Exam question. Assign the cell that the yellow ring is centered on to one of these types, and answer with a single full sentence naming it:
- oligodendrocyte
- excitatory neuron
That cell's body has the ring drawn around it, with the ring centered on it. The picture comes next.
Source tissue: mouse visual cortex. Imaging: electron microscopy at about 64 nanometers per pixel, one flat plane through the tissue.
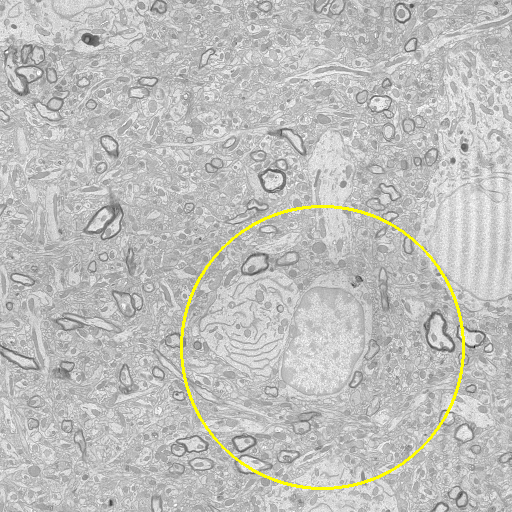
In the micrograph, the cell the yellow ring is centered on is an oligodendrocyte.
